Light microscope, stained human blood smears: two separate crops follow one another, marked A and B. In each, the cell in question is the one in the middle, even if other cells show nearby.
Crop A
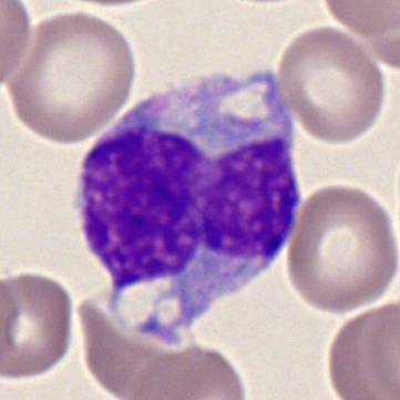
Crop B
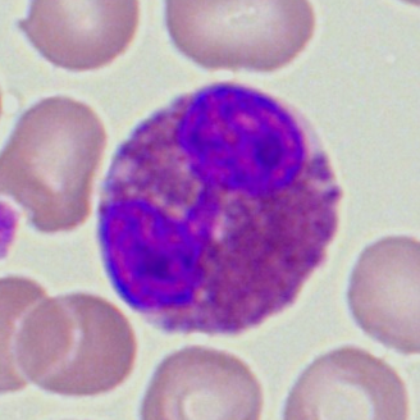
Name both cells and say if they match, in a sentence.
No, crop A gives us a monocyte and crop B gives us an eosinophil.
